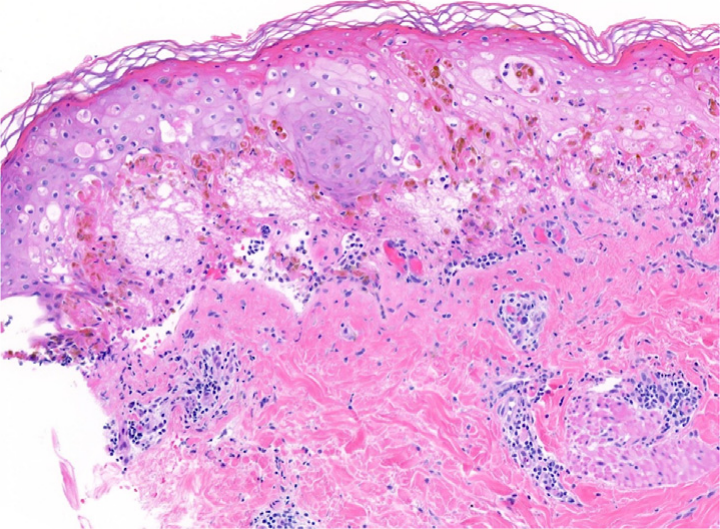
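Skin with a basket-weave cornified layer over an epidermis whose lower layers are broken up by pale, clear vacuolated spaces along the junction with the dermis. Scattered rounded keratinocytes with bright pink cytoplasm sit within the epidermis, and brown granular material lies along the lower epidermis. Small dark round inflammatory cells gather around vessels in the upper dermis and along the junction.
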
